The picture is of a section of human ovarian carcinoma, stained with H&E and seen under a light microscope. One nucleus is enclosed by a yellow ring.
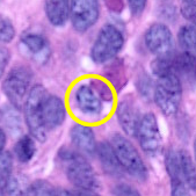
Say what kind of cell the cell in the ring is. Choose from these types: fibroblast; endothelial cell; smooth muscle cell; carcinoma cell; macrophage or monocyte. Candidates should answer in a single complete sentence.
As for its identity, the cell in the ring is a macrophage or monocyte.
